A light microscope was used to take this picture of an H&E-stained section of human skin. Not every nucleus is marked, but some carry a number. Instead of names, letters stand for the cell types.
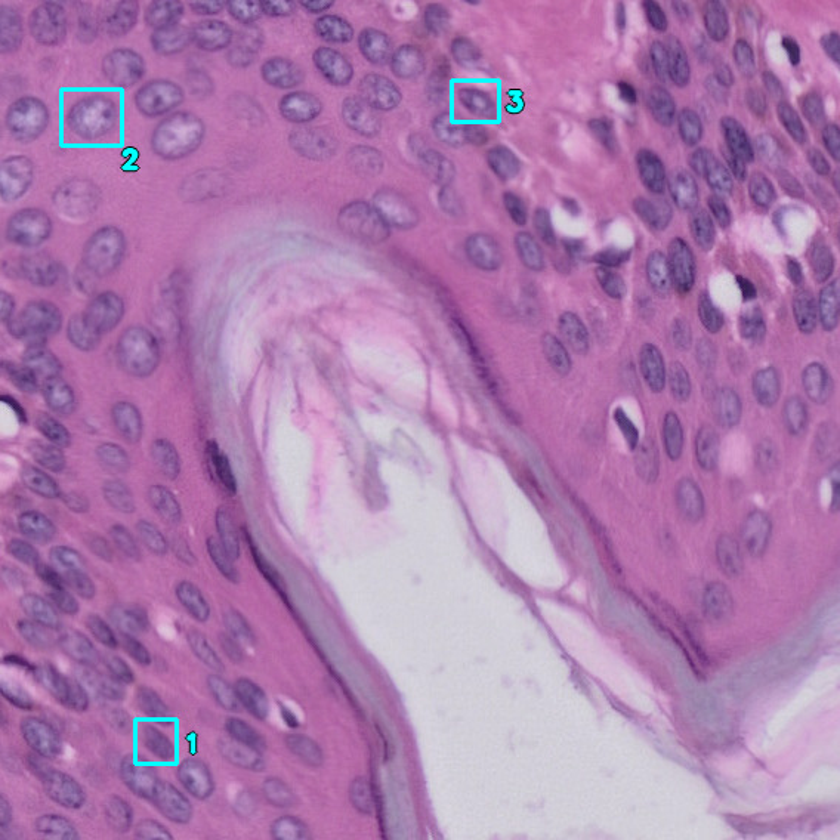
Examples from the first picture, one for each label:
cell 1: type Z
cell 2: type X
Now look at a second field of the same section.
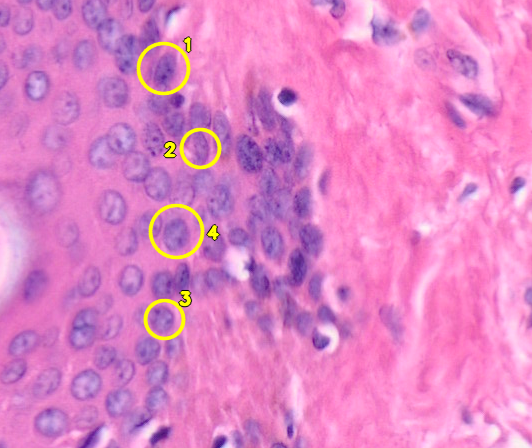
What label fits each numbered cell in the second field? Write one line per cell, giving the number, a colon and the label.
1: type Z
2: type Z
3: type Z
4: type X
